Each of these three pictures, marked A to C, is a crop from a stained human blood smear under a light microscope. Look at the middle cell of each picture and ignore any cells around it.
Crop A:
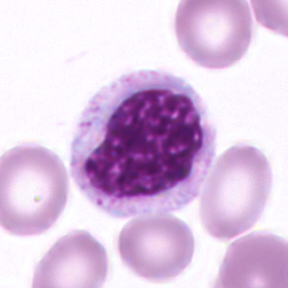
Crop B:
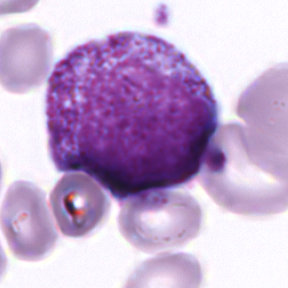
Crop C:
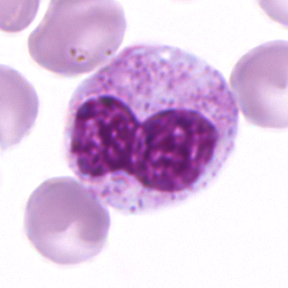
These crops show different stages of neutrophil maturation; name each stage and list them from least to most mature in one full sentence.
Maturity order, least to most: crop B (a myelocyte), crop A (a metamyelocyte) and crop C (a band neutrophil).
